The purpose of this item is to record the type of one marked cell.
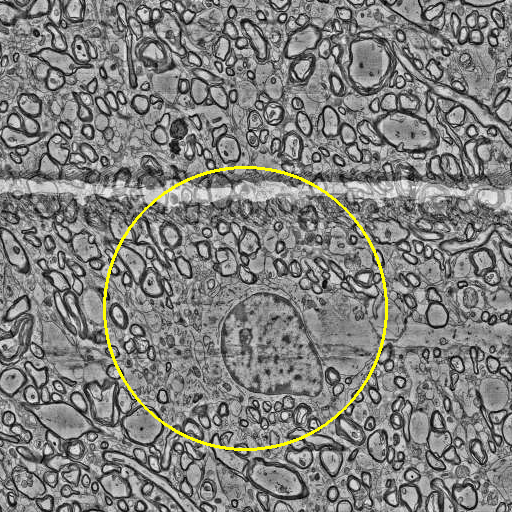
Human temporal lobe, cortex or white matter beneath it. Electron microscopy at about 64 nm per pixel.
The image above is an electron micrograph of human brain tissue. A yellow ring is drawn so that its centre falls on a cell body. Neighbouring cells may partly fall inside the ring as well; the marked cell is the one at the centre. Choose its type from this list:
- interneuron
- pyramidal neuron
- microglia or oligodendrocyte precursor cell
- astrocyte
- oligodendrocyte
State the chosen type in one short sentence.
What the ring marks here is a microglial cell or oligodendrocyte precursor cell.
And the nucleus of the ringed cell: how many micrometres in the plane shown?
In this plane, the nucleus measures approximately 6 micrometres across.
